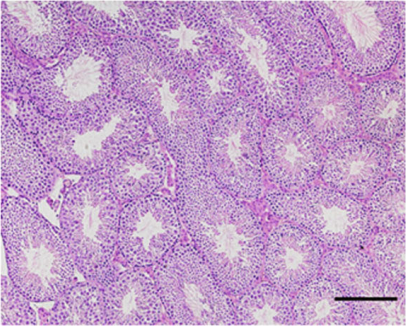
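This section of testis shows many round and oval tubules cut across, packed closely with only thin pink strands of tissue between them. Each tubule is lined by a thick wall of several layers of cells whose nuclei stain purple, with a pale pink, wispy centre. The tubules look fairly uniform in size and in the thickness of their cell layers. This is the ordinary architecture of the testis, with tubules full of layered cells.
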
